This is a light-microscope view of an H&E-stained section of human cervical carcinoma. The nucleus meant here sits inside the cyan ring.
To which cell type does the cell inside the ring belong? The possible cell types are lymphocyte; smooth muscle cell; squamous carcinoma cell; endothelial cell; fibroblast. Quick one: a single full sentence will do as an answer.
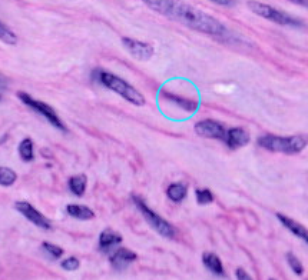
Considered by cell type, the cell inside the ring is a smooth muscle cell.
